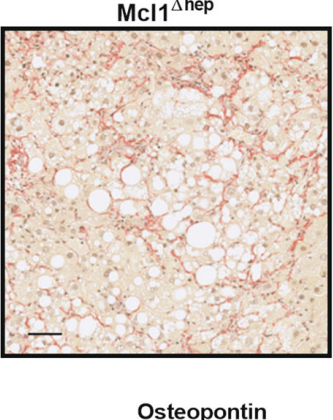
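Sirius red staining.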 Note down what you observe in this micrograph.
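This is liver tissue in which the hepatocytes are pale tan with small darker round nuclei. Many cells contain clear round vacuoles of varying size, some small and many, others large and single, giving the tissue a bubbly appearance. Between the cells runs a dense network of red-stained fibres that wraps around small groups of hepatocytes and links up across the whole field. Small dark nuclei cluster along some of the red strands.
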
